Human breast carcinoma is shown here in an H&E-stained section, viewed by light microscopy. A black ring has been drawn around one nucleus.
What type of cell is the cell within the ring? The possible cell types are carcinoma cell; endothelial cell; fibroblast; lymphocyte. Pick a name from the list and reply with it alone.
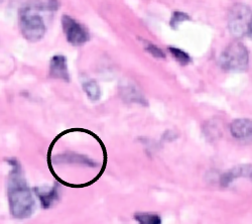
fibroblast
